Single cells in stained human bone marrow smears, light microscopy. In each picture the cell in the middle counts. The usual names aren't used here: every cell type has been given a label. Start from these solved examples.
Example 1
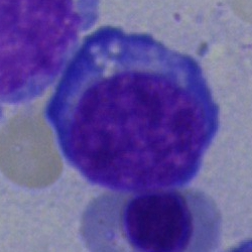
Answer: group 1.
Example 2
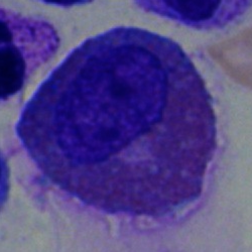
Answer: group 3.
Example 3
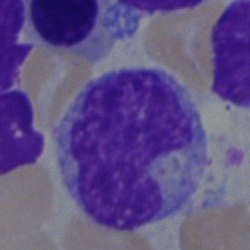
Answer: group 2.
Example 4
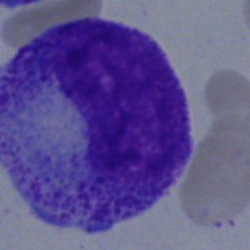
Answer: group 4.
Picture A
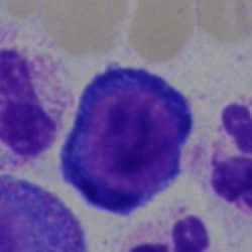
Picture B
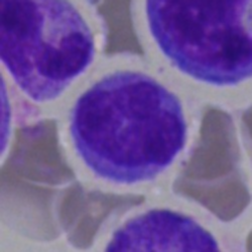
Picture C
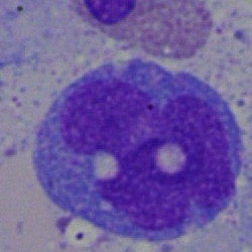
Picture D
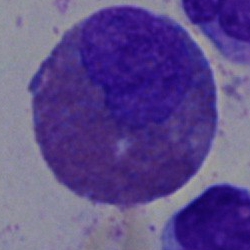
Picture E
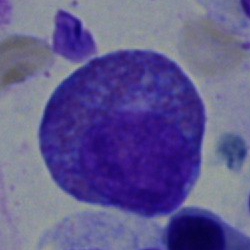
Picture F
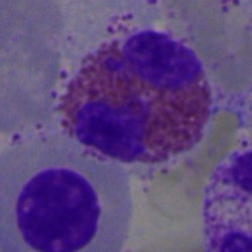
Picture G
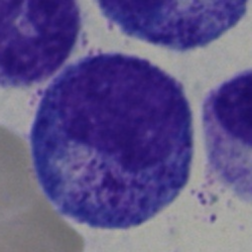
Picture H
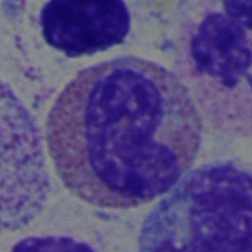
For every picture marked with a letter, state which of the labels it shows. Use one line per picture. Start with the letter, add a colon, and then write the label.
A: group 1.
B: group 2.
C: group 2.
D: group 3.
E: group 3.
F: group 3.
G: group 4.
H: group 3.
